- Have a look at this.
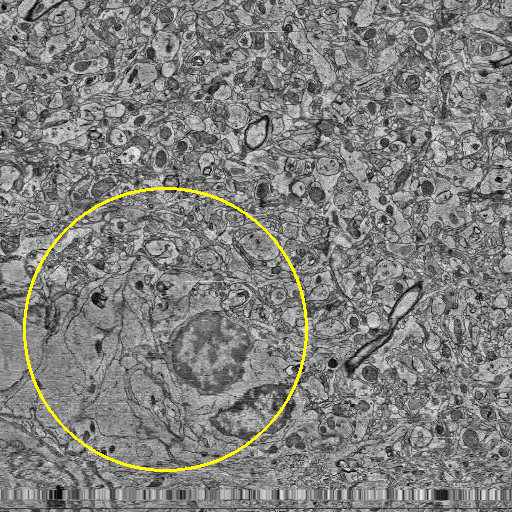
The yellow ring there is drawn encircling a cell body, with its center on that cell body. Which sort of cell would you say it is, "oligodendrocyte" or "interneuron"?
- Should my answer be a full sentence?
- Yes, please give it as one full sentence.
For this picture, an oligodendrocyte is the cell where the yellow ring has its center.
